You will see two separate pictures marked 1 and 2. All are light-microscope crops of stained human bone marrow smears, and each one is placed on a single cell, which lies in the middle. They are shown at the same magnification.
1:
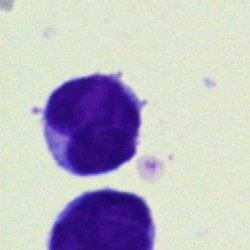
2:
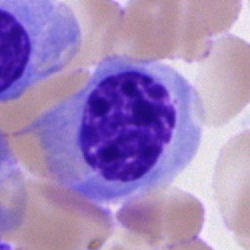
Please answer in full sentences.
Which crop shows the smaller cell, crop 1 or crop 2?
Crop 1 holds the smaller cell, since the cell in crop 2 covers about 1.5 times as much area.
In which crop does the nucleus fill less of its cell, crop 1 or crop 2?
The nucleus fills less of the cell in crop 2 than in crop 1.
